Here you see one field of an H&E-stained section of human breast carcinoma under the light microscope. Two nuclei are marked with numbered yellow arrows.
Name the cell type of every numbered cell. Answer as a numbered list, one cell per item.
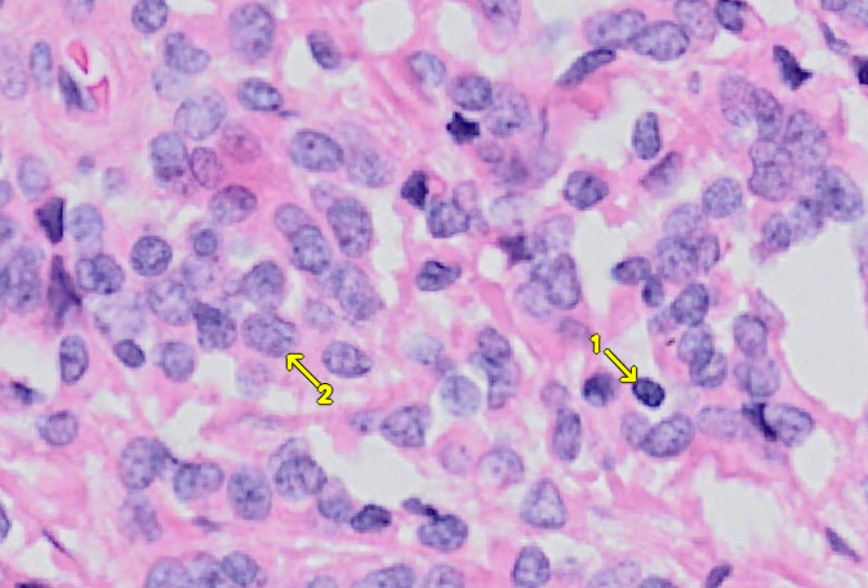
1. lymphocyte
2. carcinoma cell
